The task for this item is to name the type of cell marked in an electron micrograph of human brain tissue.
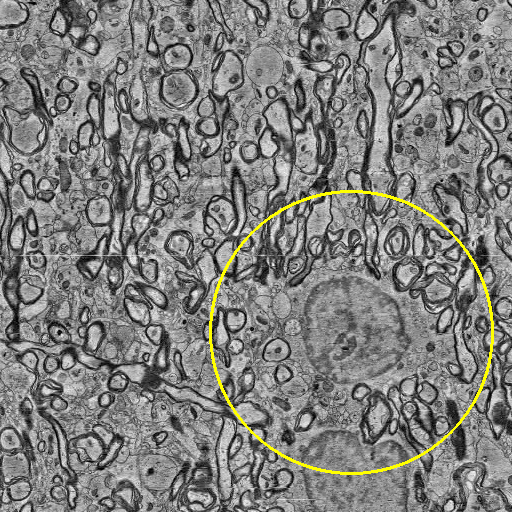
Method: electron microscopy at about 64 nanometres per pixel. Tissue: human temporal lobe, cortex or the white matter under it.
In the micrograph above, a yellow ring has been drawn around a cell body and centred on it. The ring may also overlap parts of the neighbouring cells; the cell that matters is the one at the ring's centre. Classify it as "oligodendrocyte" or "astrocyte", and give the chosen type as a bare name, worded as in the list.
oligodendrocyte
